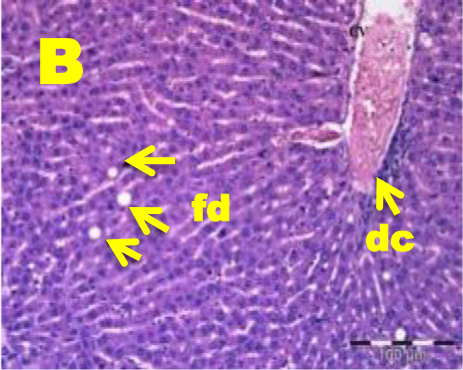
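This is liver tissue with hepatocytes arranged in cords that radiate from a central vein, separated by narrow pale sinusoids. The hepatocytes are polygonal, with pink to purplish cytoplasm and round, dark purple nuclei, and they look crowded. The central vein is long, widened and packed with pink-staining blood. Scattered among the cords are a few small, perfectly round, clear white vacuoles, which are fat droplets lying between or within the liver cells. Elsewhere the lobular pattern of plates and sinusoids is kept.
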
